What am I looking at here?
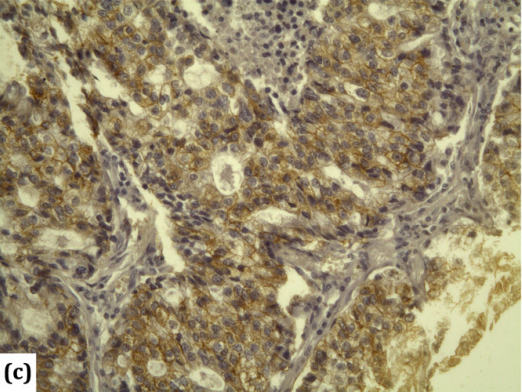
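Solid sheets of large tumour cells are divided by thin bands of stroma with spindle-shaped nuclei. The tumour cells have large round nuclei, and brown staining outlines the cells around their whole border, giving a net-like pattern over the sheets. Small round gland-like spaces are scattered within the sheets, and the stromal bands between them stay pale blue.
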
